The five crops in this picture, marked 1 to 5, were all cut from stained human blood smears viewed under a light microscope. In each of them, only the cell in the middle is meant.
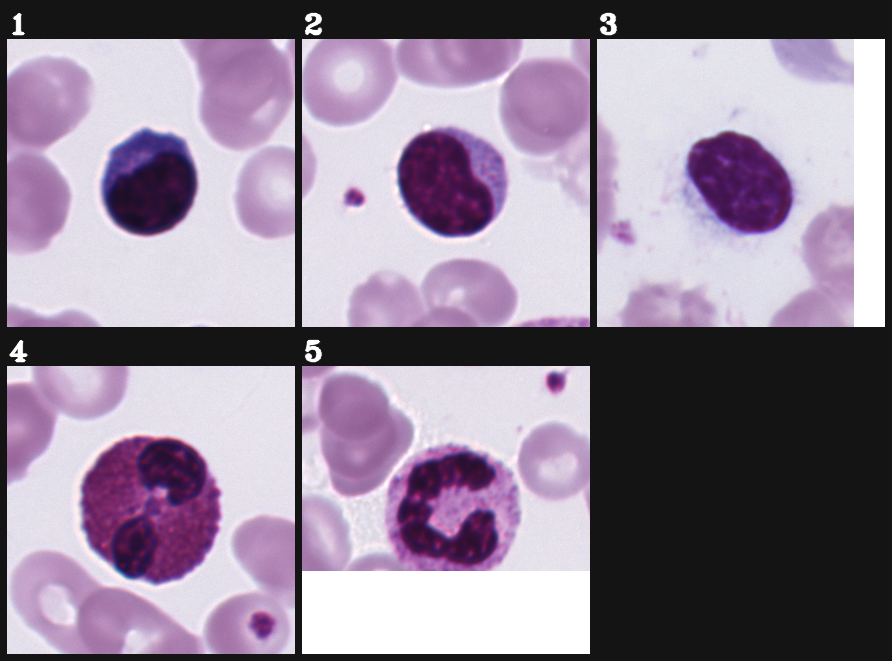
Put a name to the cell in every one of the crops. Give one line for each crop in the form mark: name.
1: typical lymphocyte
2: large granular lymphocyte
3: typical lymphocyte
4: eosinophil
5: neutrophil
